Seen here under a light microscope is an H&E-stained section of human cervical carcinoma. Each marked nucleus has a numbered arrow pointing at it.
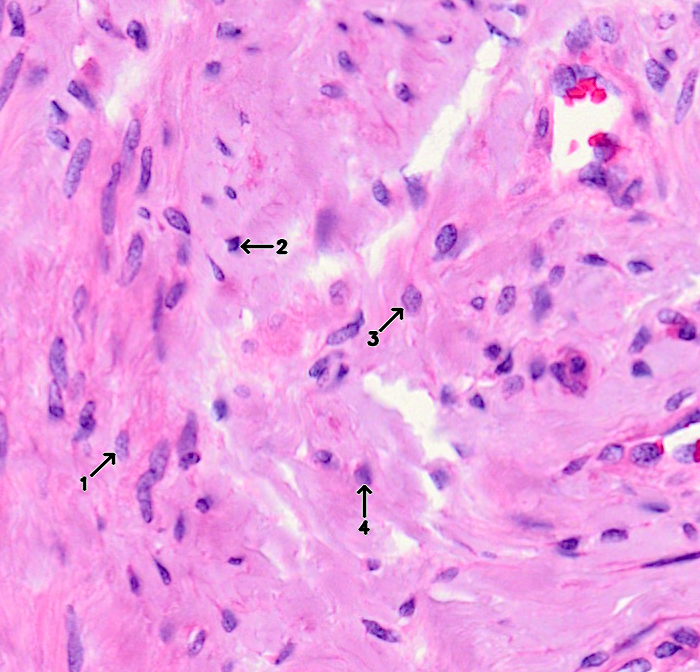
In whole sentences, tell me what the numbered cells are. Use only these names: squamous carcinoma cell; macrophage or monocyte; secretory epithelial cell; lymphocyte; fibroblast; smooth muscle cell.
Cell 1 is a smooth muscle cell, cell 2 is a fibroblast, cell 3 is a fibroblast and cell 4 is a fibroblast.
